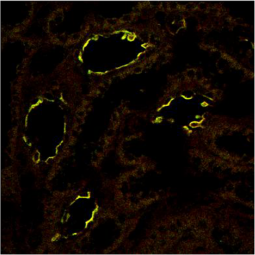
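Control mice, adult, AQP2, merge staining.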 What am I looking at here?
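Kidney tissue with several cross- and oblique-sectioned collecting ducts with wide, dark open lumina. Their lining shows a bright yellow band along the luminal border where green and red overlap, following the epithelium around the lumen. Surrounding tubules show only dim, diffuse orange-brown background with faint outlines and no bright luminal band. The lined profiles are spaced apart, scattered among the weakly stained tubules.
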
